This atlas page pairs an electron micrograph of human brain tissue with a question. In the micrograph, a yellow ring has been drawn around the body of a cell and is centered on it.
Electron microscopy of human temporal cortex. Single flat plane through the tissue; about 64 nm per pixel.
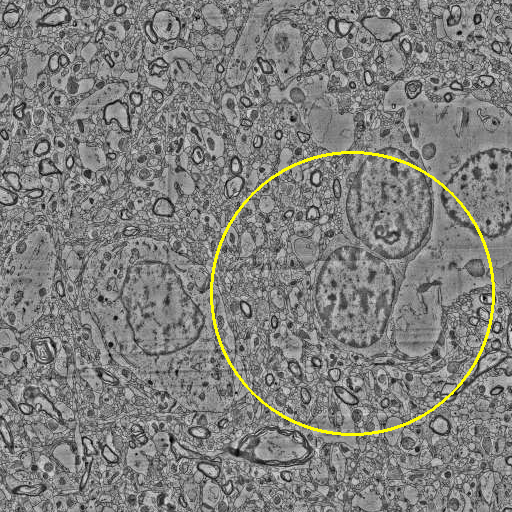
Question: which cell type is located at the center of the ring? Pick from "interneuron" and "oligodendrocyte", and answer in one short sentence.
Located at the center of the ring is an oligodendrocyte.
